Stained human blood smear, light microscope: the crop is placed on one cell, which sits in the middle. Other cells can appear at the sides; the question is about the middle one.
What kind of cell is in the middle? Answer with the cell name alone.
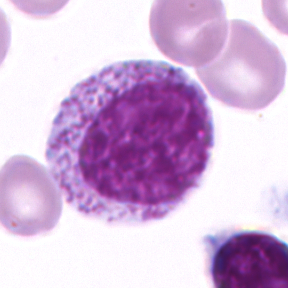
myelocyte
